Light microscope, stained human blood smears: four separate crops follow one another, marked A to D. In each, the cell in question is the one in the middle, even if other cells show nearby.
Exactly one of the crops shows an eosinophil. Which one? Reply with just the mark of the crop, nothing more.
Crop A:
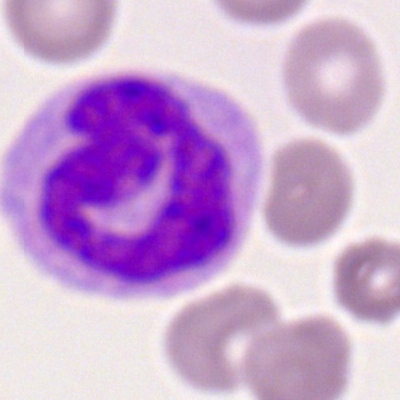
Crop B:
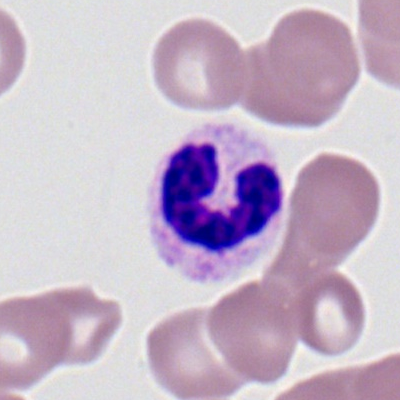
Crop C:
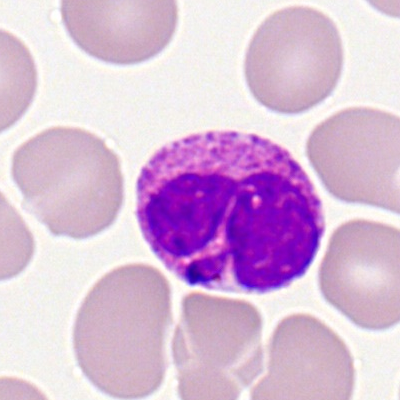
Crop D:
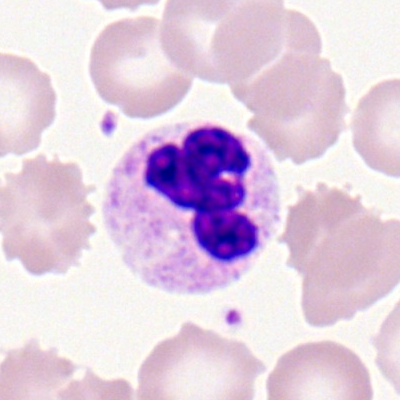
C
